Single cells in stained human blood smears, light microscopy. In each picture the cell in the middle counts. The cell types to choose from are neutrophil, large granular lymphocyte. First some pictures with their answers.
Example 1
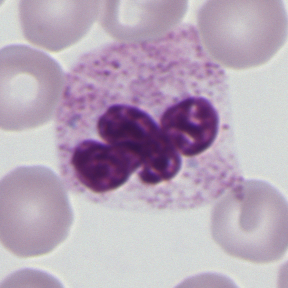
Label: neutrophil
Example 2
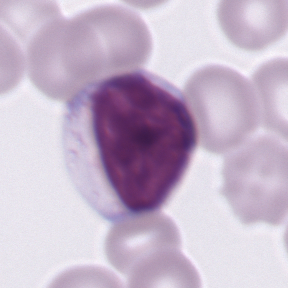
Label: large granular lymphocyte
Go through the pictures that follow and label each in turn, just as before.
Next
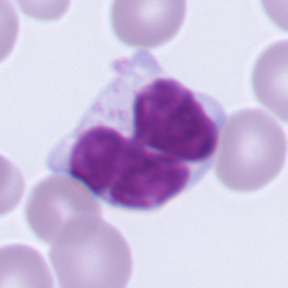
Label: large granular lymphocyte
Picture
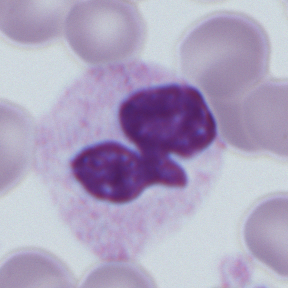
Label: neutrophil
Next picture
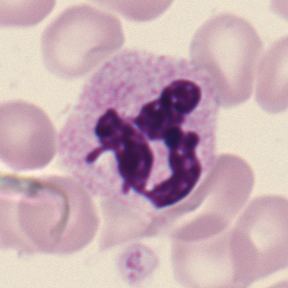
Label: neutrophil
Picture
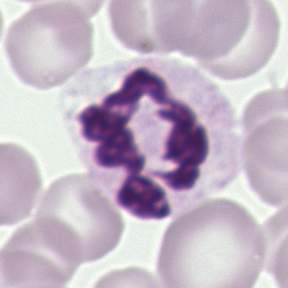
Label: neutrophil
